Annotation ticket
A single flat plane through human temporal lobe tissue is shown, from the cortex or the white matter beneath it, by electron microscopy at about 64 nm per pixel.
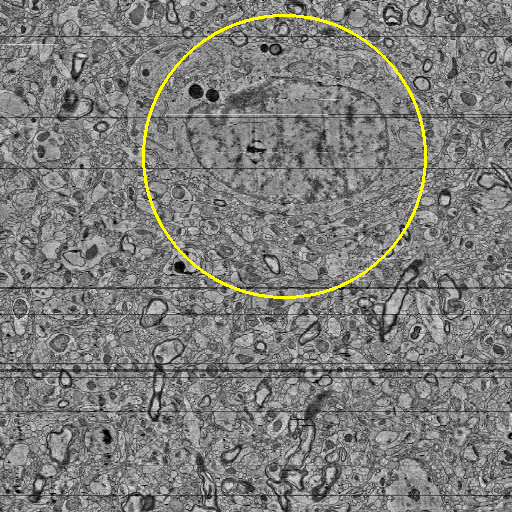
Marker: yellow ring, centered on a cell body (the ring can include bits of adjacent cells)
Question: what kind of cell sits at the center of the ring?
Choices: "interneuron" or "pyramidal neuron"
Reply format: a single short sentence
The ring is centered on an interneuron.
